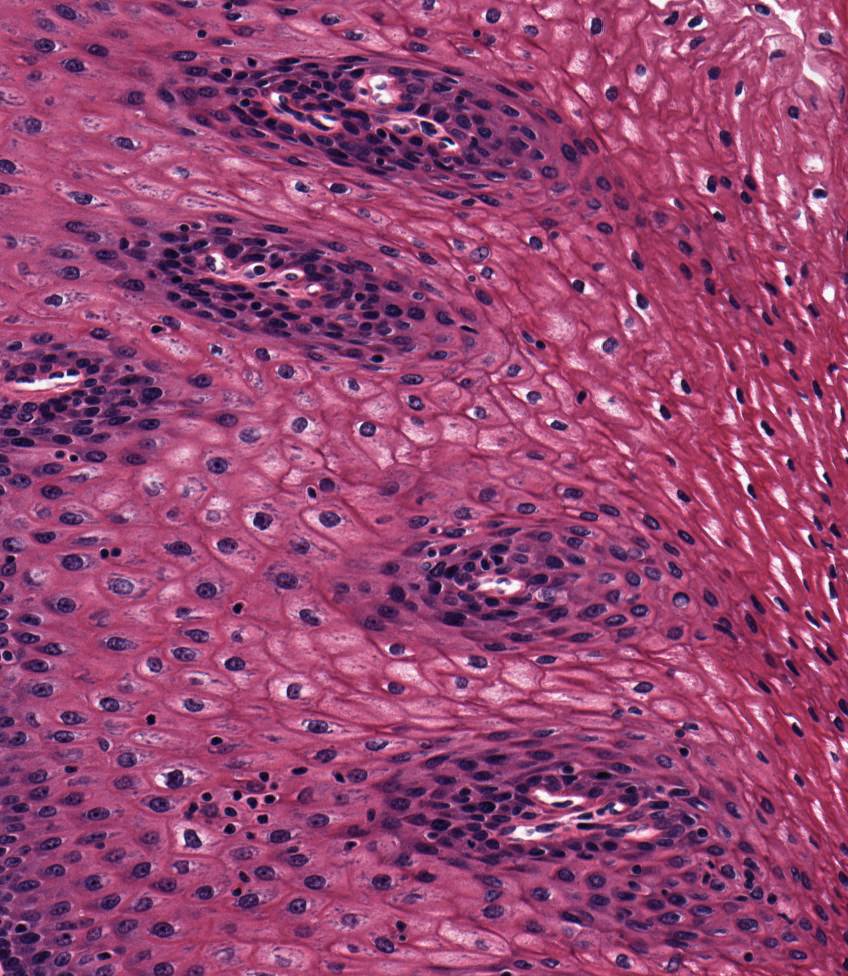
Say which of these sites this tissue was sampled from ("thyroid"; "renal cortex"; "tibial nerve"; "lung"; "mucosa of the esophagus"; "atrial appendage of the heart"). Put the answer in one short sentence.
The site this tissue was sampled from is the mucosa of the esophagus.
